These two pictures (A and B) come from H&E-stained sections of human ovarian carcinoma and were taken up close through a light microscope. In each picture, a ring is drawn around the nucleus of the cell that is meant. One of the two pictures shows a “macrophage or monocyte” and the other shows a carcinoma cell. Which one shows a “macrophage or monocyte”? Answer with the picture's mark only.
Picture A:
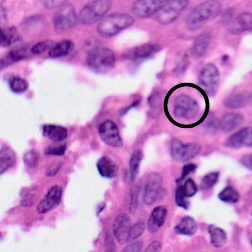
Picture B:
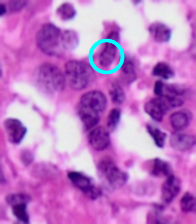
A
